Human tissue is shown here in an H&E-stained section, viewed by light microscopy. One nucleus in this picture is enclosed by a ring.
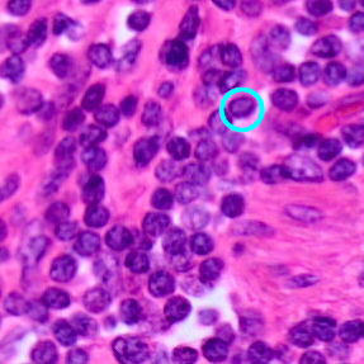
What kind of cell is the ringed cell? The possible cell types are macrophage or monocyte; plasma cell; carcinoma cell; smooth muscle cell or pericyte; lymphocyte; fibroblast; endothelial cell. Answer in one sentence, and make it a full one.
In this section, the ringed cell is a lymphocyte.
